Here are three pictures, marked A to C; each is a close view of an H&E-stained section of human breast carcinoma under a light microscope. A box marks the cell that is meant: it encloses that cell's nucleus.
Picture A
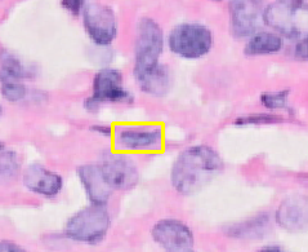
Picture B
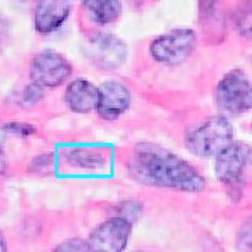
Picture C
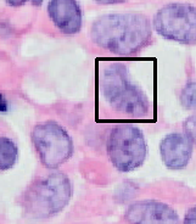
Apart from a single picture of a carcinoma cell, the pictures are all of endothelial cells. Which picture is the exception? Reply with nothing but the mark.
C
